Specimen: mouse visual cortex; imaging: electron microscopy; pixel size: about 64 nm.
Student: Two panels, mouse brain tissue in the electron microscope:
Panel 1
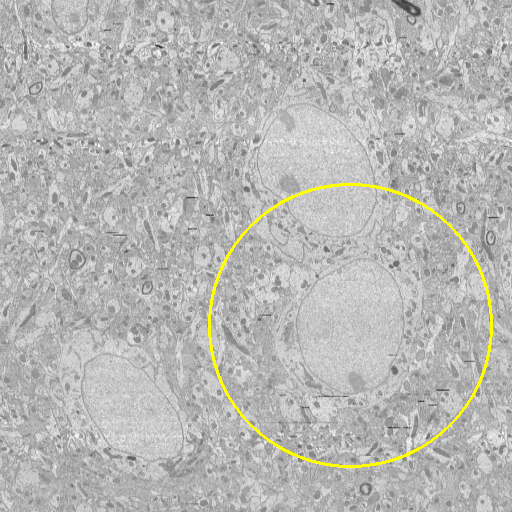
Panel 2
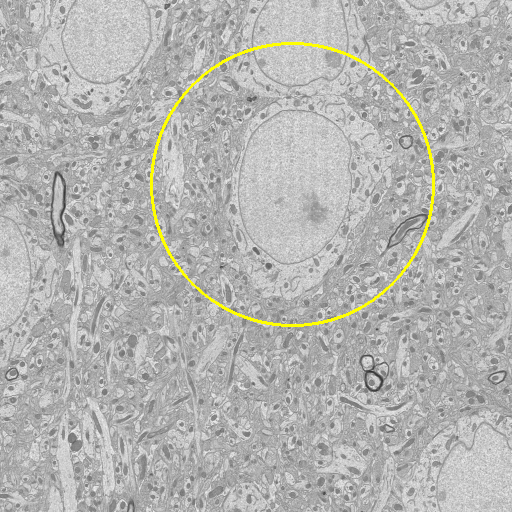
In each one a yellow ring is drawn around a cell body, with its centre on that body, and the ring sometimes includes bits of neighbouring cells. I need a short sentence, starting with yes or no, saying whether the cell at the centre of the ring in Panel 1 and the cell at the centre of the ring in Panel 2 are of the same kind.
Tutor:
Yes, they are the same kind of cell.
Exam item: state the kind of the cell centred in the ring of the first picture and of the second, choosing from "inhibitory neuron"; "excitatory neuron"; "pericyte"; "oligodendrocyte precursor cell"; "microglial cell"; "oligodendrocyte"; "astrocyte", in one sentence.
In each of the two pictures, the ringed cell is an excitatory neuron.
